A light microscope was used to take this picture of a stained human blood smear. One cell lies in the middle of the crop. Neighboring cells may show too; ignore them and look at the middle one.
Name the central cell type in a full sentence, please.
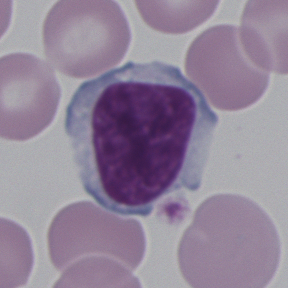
In this smear crop, the middle cell is a typical lymphocyte.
